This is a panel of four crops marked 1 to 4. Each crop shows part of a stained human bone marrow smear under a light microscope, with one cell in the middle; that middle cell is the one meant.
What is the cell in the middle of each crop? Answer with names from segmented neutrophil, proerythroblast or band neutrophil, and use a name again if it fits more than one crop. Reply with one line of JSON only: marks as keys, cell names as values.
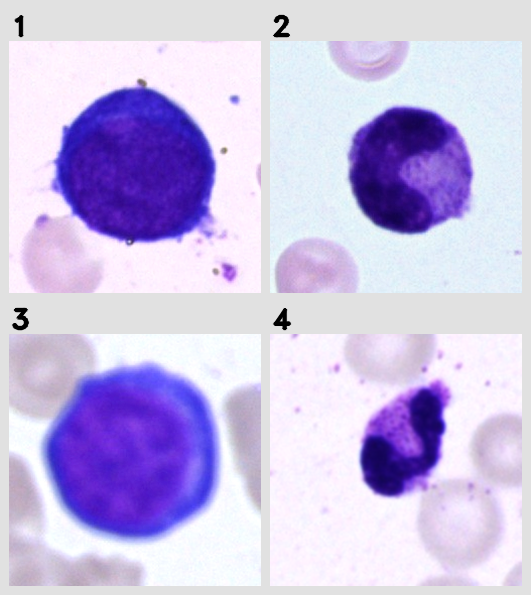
{"1": "proerythroblast", "2": "band neutrophil", "3": "proerythroblast", "4": "segmented neutrophil"}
